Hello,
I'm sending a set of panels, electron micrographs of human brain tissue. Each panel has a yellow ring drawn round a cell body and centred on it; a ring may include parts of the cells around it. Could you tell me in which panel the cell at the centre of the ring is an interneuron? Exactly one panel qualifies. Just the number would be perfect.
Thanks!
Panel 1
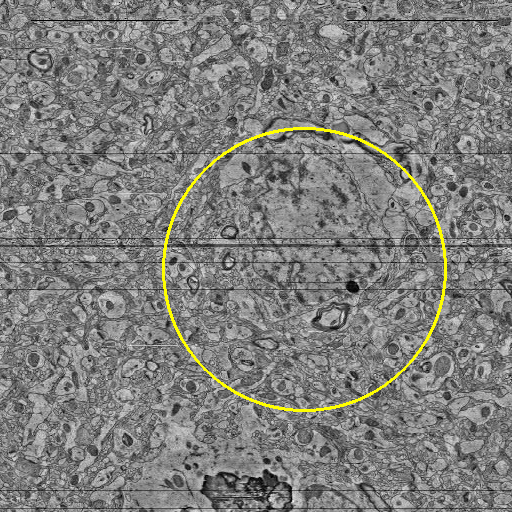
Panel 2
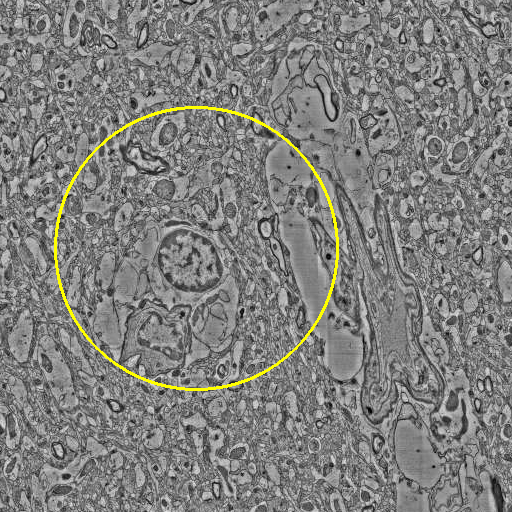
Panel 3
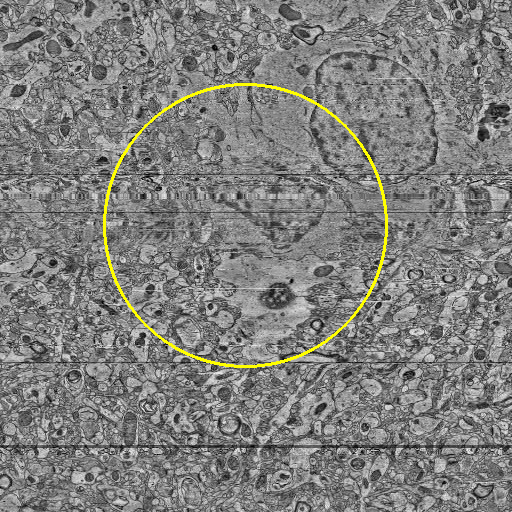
1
